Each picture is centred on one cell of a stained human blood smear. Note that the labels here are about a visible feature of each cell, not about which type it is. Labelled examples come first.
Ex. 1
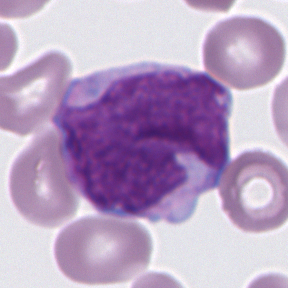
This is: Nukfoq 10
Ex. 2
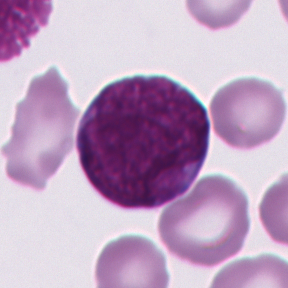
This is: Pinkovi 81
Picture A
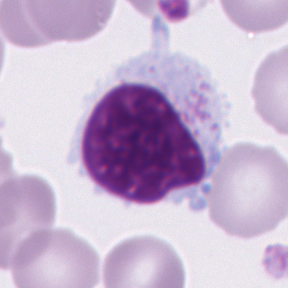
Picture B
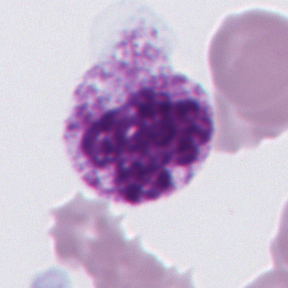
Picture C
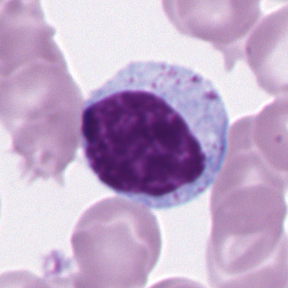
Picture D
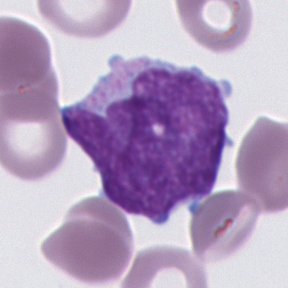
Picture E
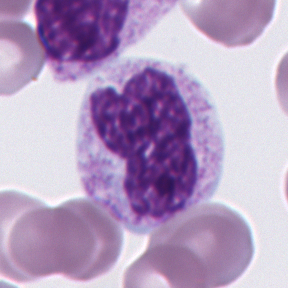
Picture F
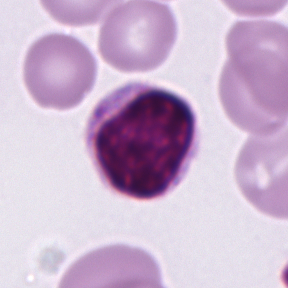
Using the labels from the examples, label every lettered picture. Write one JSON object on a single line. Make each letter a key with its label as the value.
{"A": "Nukfoq 10", "B": "Nukfoq 10", "C": "Pinkovi 81", "D": "Nukfoq 10", "E": "Pinkovi 81", "F": "Pinkovi 81"}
